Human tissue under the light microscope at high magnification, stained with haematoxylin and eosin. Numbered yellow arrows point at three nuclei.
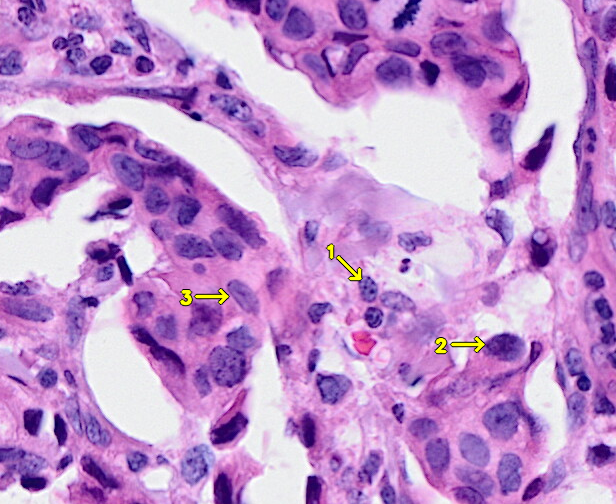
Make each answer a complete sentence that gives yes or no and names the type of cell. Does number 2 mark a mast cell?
No, as for cell 2, it is a carcinoma cell and not a mast cell.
